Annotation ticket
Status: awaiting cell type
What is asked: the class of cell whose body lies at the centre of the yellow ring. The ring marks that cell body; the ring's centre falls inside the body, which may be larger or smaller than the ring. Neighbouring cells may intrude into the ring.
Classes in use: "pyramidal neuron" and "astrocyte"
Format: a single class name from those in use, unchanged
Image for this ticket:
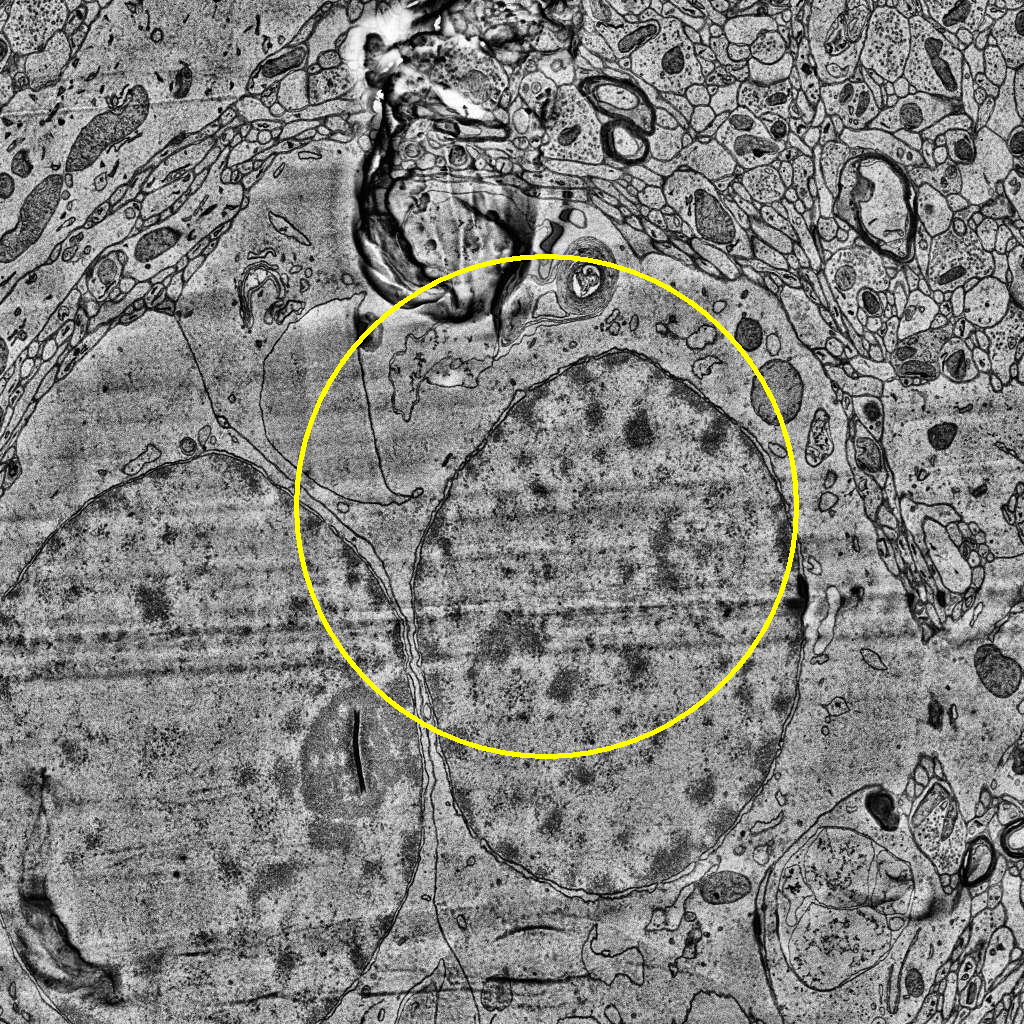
astrocyte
